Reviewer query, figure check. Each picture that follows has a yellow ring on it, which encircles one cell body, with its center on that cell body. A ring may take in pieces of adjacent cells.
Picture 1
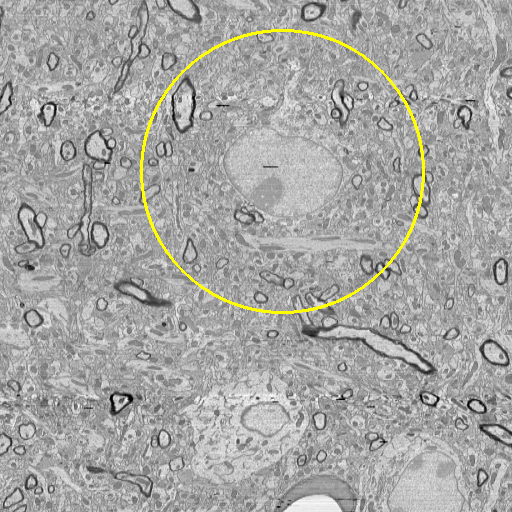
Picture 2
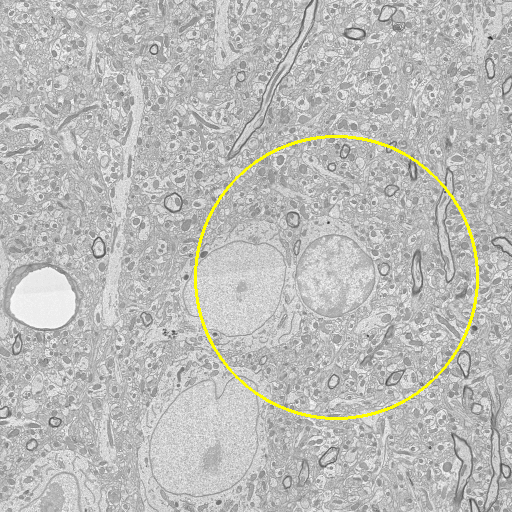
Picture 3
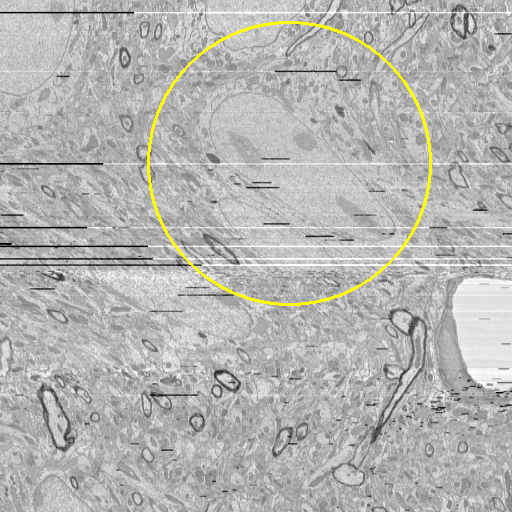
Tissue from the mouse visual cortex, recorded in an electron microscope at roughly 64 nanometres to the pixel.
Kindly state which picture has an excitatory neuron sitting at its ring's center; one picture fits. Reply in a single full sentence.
In picture 3, the cell at the center of the ring is the requested one.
